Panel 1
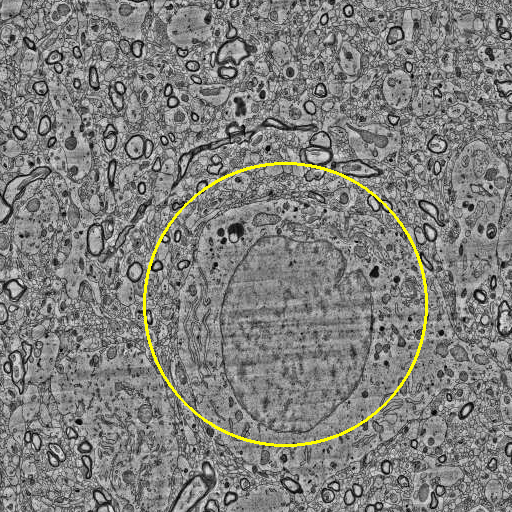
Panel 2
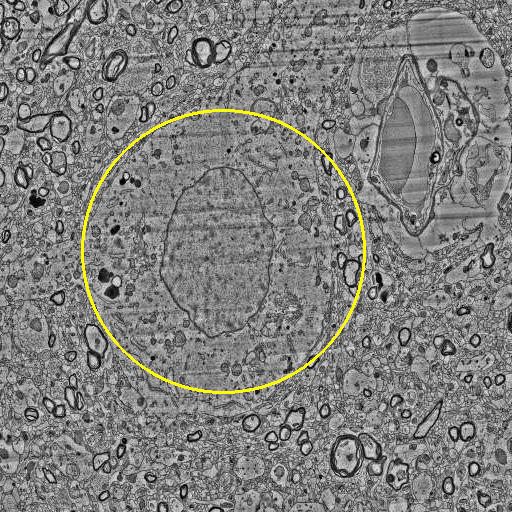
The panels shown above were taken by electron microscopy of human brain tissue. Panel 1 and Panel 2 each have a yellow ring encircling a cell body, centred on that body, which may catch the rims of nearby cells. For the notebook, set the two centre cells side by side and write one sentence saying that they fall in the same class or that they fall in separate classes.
The centred cells of Panel 1 and Panel 2 fall in separate classes.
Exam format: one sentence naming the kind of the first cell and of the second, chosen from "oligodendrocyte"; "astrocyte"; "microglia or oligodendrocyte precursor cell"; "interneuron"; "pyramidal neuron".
The first picture's cell is an interneuron, and the second picture's cell is a pyramidal neuron.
